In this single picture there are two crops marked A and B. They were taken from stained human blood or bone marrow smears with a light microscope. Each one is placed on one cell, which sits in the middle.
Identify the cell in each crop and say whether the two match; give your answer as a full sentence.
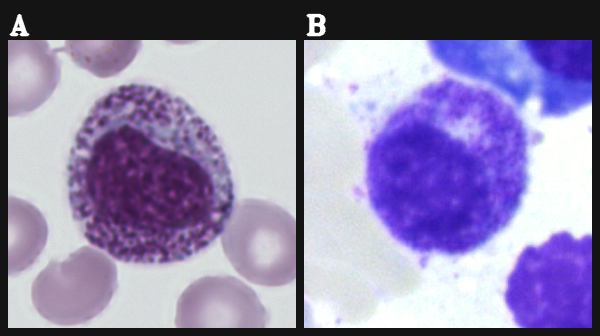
Yes, both the first crop and the second crop show myelocytes.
